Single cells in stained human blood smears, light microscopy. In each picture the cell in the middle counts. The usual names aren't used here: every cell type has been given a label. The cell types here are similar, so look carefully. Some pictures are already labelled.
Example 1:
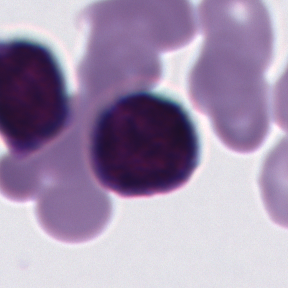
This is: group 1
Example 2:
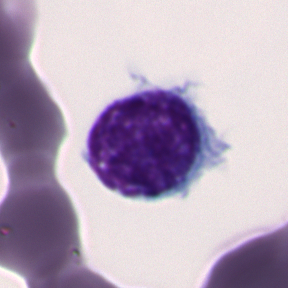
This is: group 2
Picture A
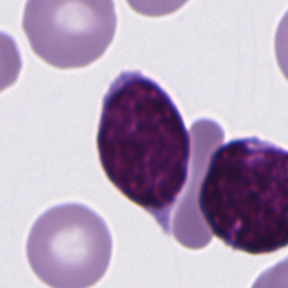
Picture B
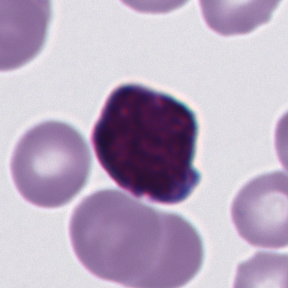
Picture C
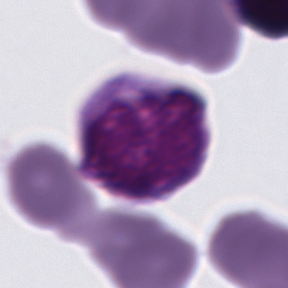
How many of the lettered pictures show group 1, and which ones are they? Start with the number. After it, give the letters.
3, namely A, B, C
